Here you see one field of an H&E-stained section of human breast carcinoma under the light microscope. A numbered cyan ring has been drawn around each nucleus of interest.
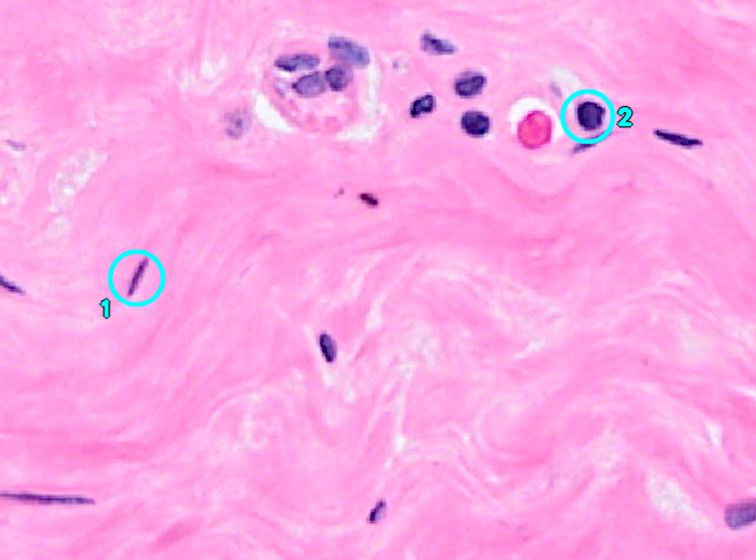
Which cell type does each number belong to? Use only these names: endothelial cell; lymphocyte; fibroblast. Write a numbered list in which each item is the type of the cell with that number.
1. fibroblast
2. lymphocyte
